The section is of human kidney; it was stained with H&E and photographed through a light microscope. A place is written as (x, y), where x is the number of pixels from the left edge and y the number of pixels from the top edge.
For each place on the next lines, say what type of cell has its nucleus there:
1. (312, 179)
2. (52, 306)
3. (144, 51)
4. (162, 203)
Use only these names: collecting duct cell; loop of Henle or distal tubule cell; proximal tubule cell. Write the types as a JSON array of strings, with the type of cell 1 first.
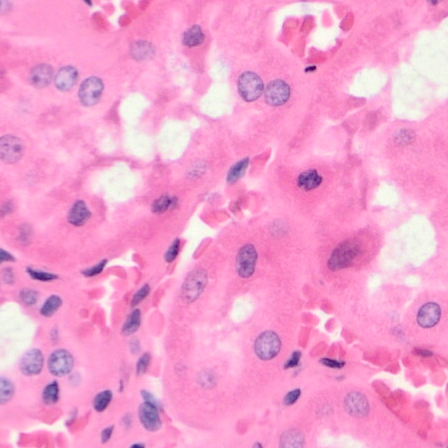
["proximal tubule cell", "collecting duct cell", "proximal tubule cell", "proximal tubule cell"]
